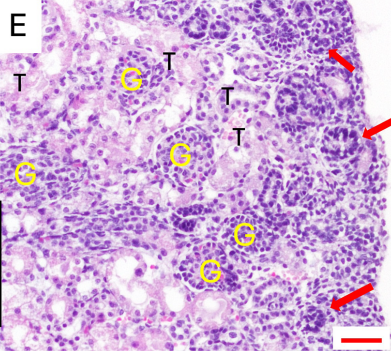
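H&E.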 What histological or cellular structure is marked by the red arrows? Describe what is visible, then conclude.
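Nascent nephrons. The arrows point to compact clusters of densely packed, dark purple nuclei. These clusters lie at the outer edge of the section.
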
